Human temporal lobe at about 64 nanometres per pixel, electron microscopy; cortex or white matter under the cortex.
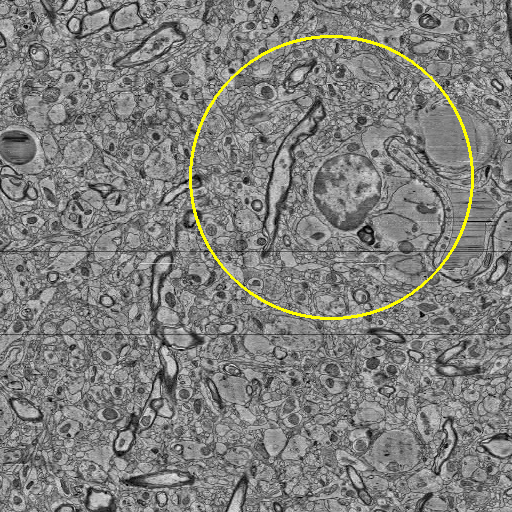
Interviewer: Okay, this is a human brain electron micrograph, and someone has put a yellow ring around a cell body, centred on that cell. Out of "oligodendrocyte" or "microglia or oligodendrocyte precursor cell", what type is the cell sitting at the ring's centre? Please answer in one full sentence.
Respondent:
The cell at the centre of the yellow ring in this picture is a microglial cell or oligodendrocyte precursor cell.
